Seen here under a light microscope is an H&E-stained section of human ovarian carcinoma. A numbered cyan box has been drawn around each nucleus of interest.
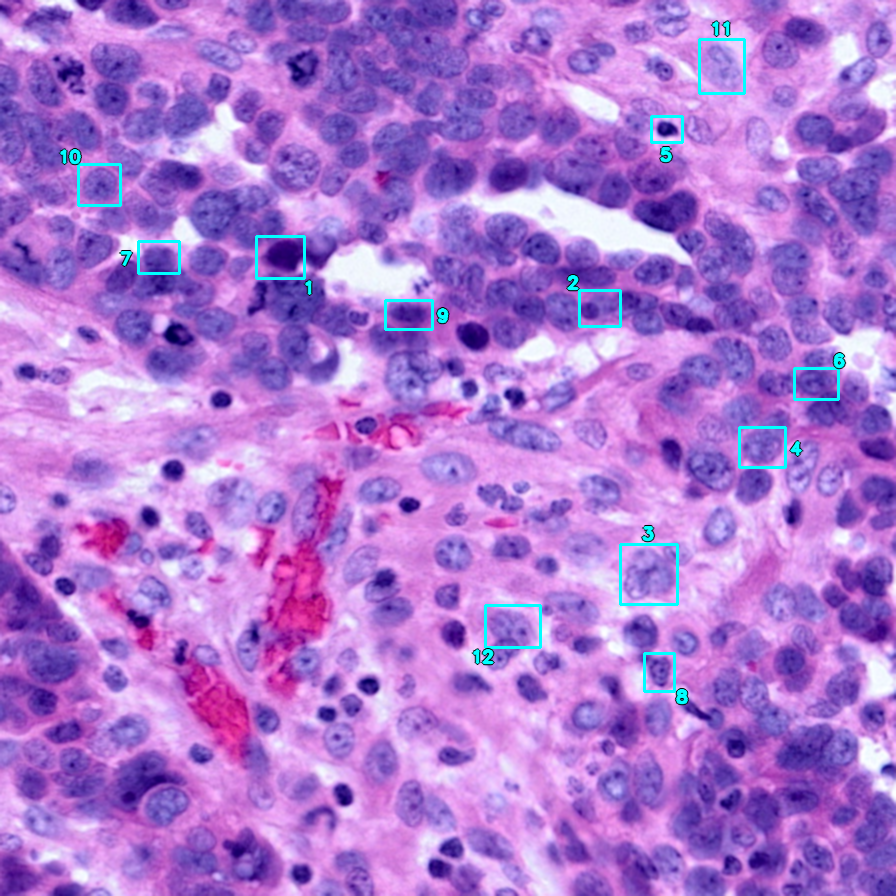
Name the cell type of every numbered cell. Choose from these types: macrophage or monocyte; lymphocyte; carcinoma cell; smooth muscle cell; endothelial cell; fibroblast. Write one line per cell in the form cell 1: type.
cell 1: carcinoma cell
cell 2: carcinoma cell
cell 3: fibroblast
cell 4: carcinoma cell
cell 5: lymphocyte
cell 6: carcinoma cell
cell 7: carcinoma cell
cell 8: macrophage or monocyte
cell 9: carcinoma cell
cell 10: carcinoma cell
cell 11: fibroblast
cell 12: fibroblast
